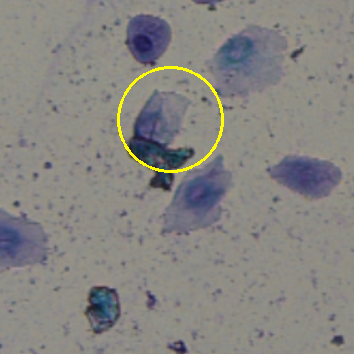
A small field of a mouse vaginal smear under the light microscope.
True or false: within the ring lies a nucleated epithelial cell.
False: a cornified epithelial cell lies within the ring.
